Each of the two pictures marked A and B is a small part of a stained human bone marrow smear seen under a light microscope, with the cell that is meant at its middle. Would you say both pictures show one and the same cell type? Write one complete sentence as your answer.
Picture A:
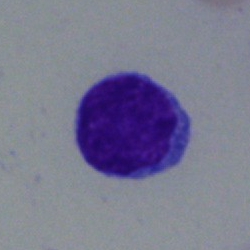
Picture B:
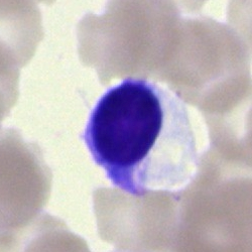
Yes, the two pictures both show lymphocytes.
